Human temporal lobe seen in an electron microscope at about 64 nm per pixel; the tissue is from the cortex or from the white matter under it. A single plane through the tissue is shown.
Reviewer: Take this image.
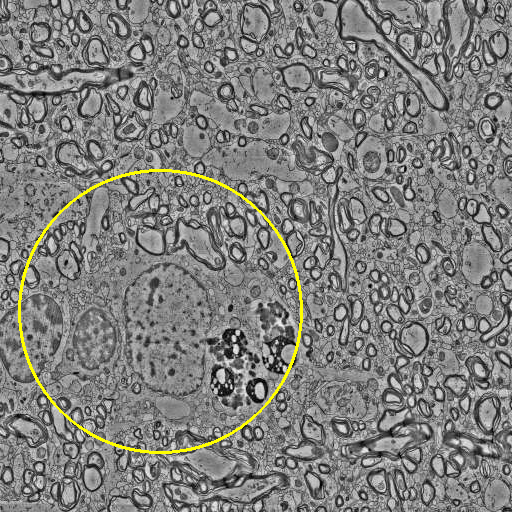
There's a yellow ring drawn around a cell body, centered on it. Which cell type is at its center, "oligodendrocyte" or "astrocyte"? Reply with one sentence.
At the center of the yellow ring is an astrocyte.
